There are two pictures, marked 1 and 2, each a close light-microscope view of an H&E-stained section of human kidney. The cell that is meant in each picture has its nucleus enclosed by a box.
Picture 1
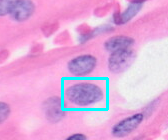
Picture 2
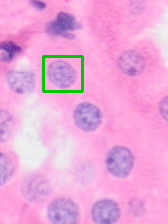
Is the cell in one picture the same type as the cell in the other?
no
